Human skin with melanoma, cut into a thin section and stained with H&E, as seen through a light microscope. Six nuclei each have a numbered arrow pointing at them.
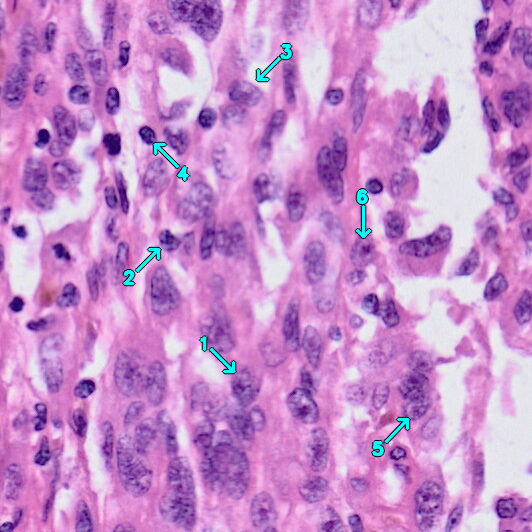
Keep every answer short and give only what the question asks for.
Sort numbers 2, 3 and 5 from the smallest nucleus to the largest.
2, 5, 3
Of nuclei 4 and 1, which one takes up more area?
1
